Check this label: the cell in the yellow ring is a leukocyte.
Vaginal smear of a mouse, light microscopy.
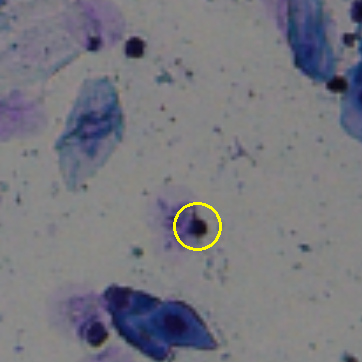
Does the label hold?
The label holds; the cell is a leukocyte.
